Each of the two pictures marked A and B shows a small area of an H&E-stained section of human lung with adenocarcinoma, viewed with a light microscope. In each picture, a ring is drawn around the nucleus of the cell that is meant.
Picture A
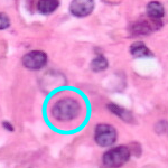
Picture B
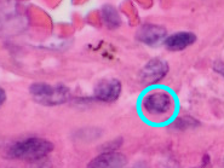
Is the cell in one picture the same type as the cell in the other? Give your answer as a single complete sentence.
Yes; the cells in both pictures are mast cells.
